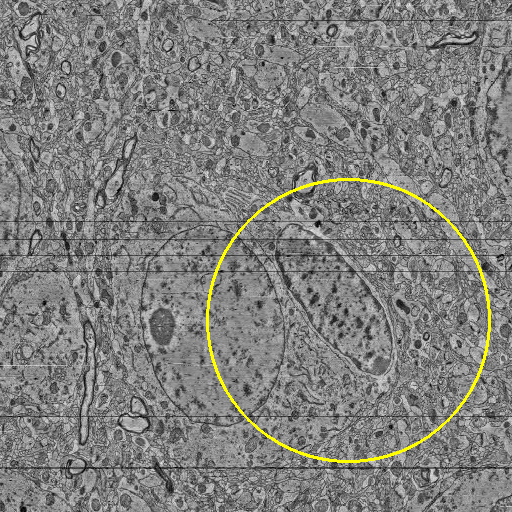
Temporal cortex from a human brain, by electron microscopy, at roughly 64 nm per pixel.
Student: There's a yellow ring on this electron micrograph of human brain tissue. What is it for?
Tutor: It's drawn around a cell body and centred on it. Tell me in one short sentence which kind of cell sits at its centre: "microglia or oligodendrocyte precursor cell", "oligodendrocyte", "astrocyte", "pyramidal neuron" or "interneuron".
The cell at the centre of the ring is a microglial cell or oligodendrocyte precursor cell.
